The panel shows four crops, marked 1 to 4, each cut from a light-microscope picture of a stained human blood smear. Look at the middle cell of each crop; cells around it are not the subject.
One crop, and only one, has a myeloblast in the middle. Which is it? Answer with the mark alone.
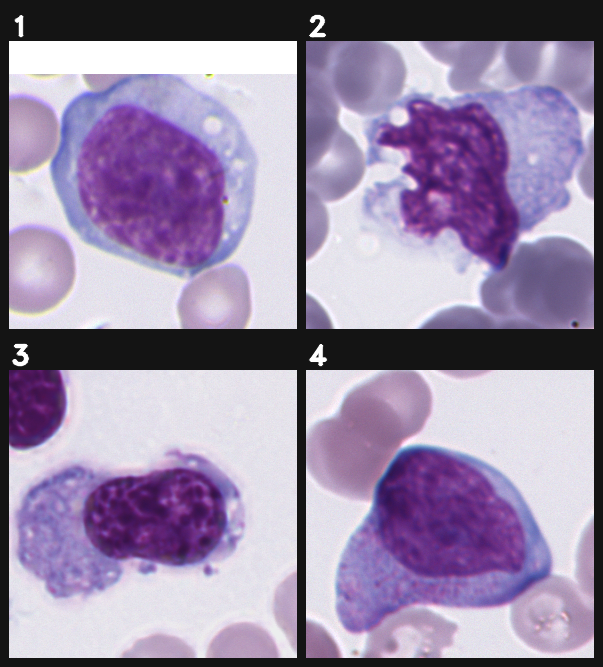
1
